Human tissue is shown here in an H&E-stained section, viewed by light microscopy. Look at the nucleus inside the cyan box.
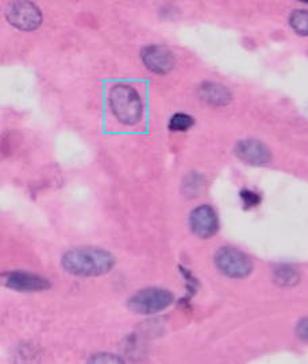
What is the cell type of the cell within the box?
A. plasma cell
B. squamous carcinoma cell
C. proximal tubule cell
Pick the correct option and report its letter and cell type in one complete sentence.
Option C holds, since the cell within the box is a proximal tubule cell.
